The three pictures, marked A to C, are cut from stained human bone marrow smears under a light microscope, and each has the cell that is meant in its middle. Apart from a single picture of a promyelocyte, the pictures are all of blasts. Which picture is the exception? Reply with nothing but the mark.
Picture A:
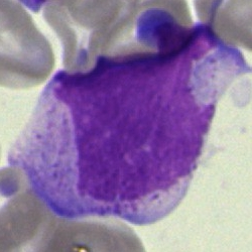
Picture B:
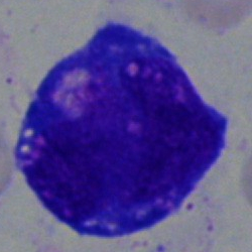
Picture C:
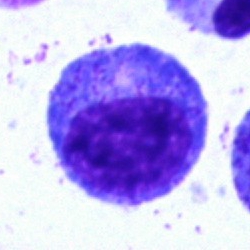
C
